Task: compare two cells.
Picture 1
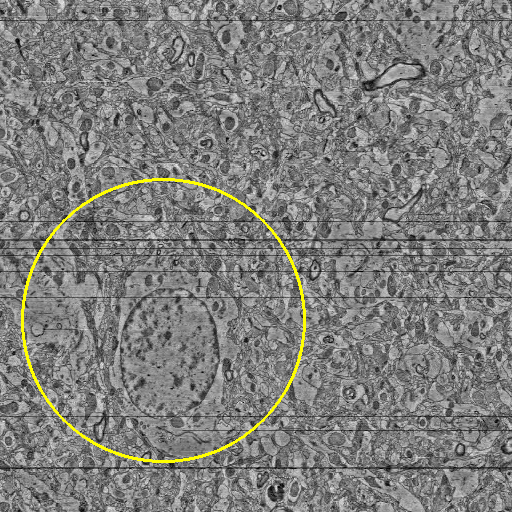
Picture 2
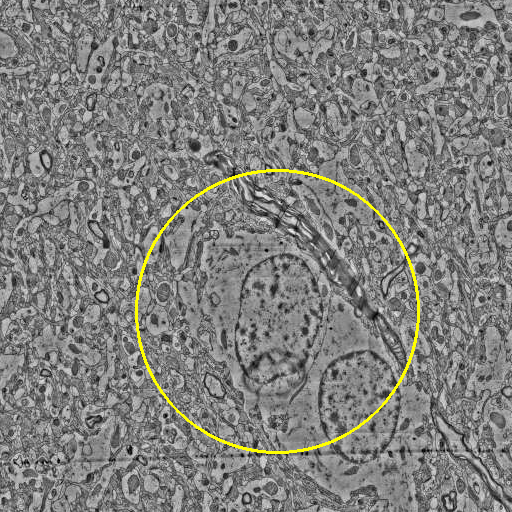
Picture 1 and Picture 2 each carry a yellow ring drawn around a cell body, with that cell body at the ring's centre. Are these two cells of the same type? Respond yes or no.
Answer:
yes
